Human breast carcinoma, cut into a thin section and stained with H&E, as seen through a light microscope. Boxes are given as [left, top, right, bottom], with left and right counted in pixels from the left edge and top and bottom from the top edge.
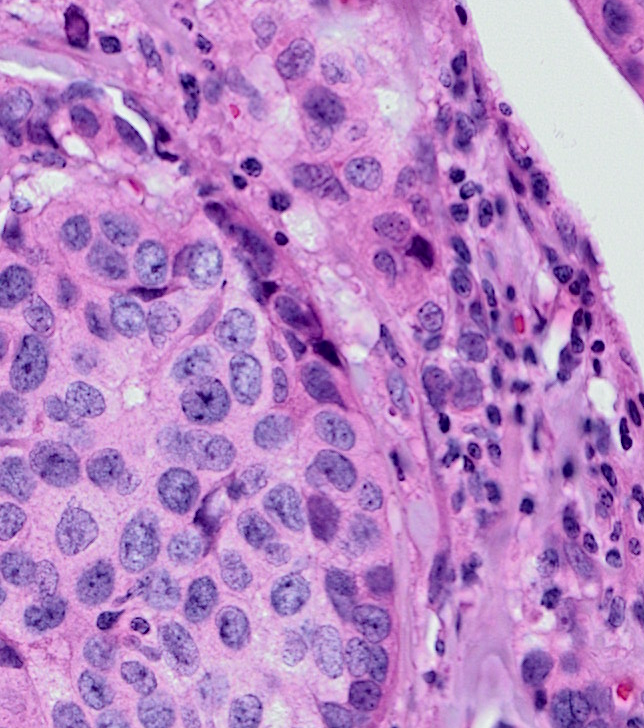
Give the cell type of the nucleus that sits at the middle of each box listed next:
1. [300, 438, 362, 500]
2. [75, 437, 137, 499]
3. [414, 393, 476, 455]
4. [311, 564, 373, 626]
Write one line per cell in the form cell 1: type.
cell 1: carcinoma cell
cell 2: carcinoma cell
cell 3: lymphocyte
cell 4: carcinoma cell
